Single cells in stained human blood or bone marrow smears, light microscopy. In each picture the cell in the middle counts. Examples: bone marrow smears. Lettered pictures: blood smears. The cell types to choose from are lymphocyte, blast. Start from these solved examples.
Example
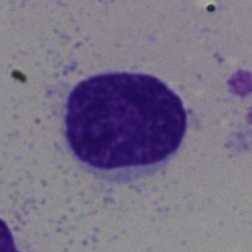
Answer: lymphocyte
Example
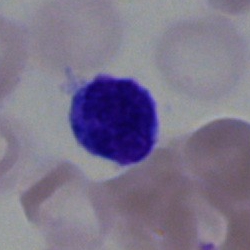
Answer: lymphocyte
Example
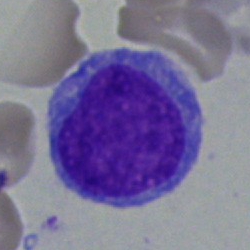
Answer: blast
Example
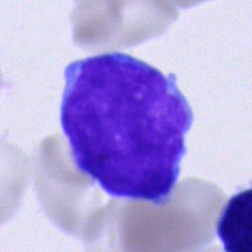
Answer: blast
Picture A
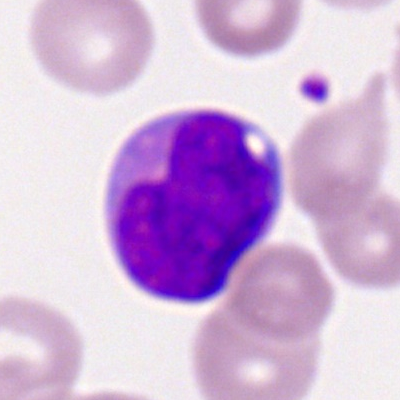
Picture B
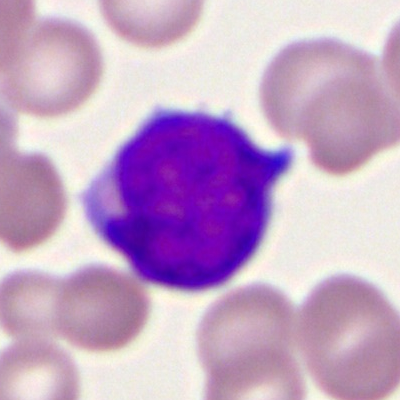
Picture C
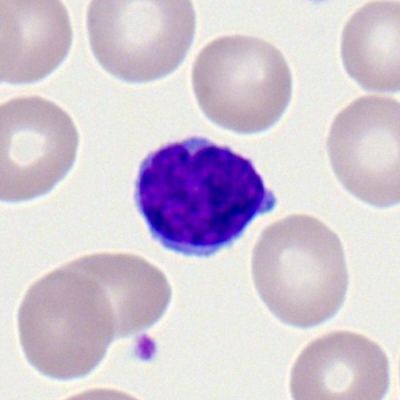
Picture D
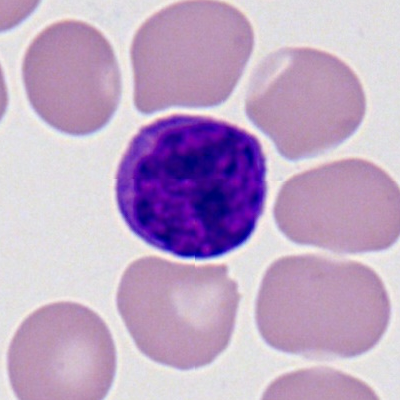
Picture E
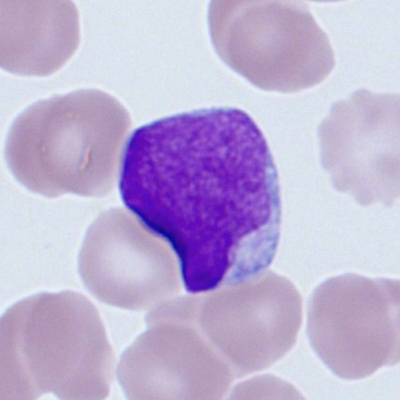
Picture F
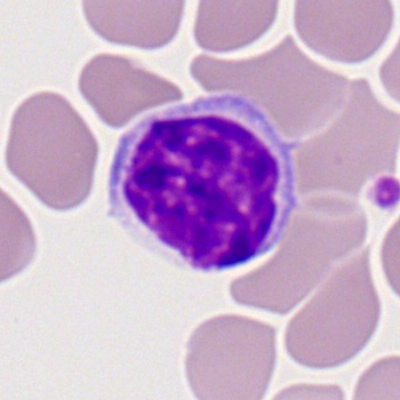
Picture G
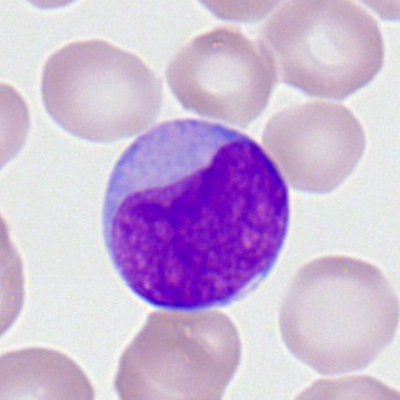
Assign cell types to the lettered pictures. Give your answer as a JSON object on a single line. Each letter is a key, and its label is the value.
{"A": "blast", "B": "blast", "C": "lymphocyte", "D": "lymphocyte", "E": "blast", "F": "lymphocyte", "G": "blast"}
